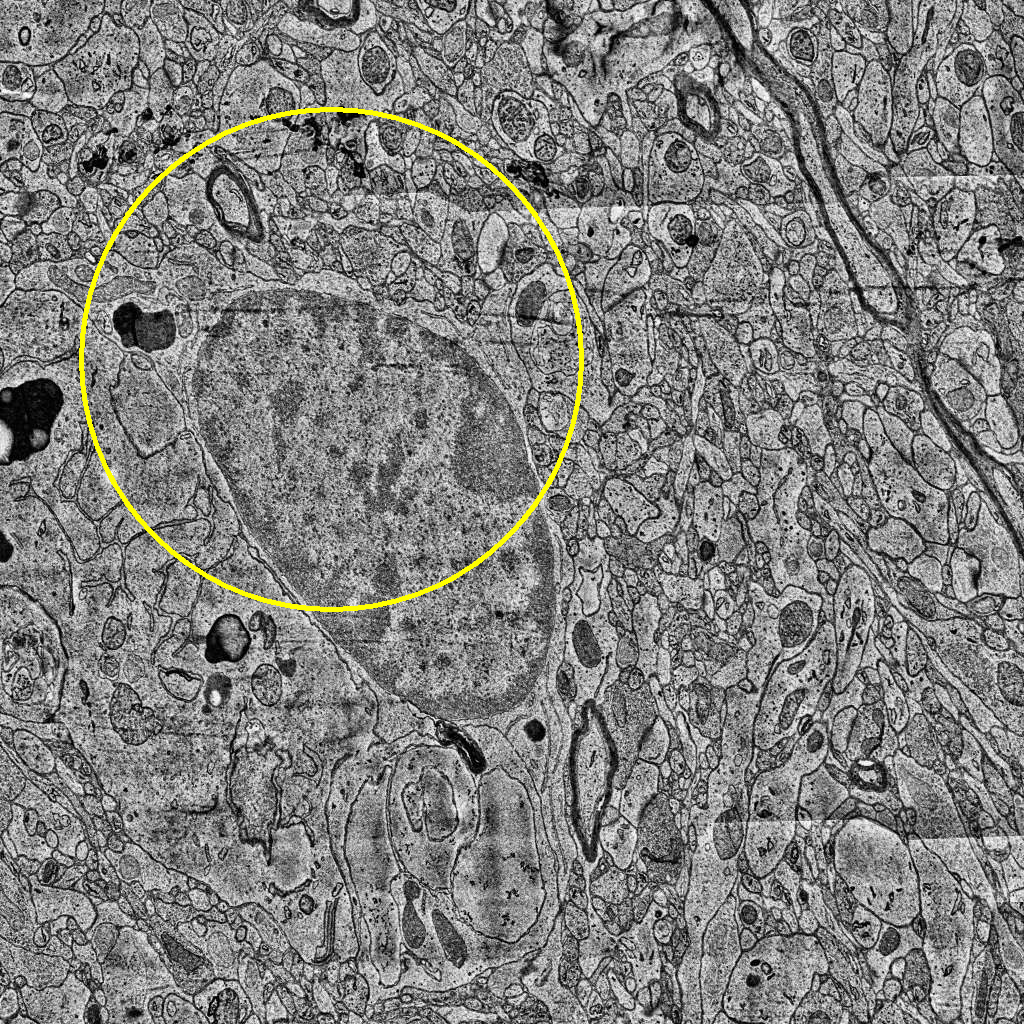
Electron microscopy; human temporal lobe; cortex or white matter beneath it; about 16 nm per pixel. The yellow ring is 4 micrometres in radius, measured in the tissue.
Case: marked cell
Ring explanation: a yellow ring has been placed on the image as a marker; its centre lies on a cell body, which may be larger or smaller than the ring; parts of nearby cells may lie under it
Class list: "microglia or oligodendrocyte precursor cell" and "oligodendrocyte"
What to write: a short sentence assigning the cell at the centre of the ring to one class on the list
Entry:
The cell at the ring's centre is a microglial cell or oligodendrocyte precursor cell.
